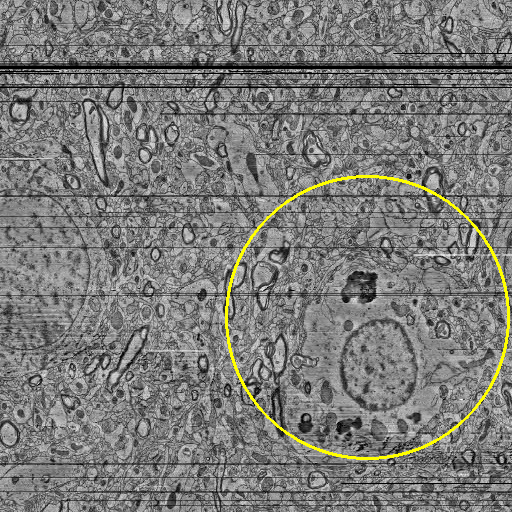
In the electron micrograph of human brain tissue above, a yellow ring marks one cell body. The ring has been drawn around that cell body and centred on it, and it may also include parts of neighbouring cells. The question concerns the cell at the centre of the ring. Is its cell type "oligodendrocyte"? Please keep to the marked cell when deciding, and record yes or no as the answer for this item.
no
